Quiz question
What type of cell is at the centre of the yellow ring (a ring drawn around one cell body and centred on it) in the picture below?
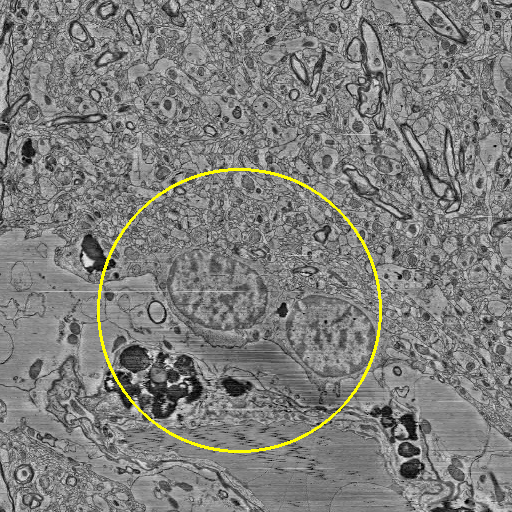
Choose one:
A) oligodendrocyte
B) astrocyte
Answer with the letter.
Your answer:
A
